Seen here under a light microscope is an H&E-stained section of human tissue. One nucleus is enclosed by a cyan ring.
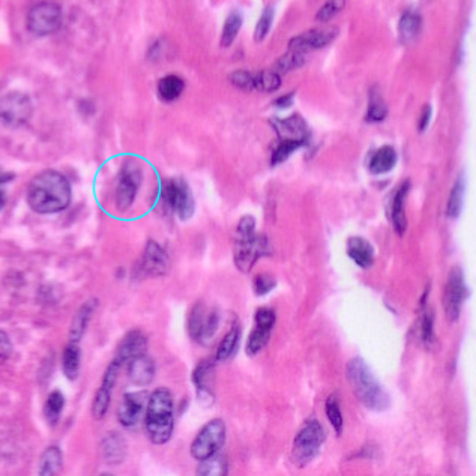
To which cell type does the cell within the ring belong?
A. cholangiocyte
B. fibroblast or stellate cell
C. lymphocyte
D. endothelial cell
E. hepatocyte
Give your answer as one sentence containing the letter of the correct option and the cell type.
The accurate option is B, with the cell within the ring being a fibroblast or stellate cell.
